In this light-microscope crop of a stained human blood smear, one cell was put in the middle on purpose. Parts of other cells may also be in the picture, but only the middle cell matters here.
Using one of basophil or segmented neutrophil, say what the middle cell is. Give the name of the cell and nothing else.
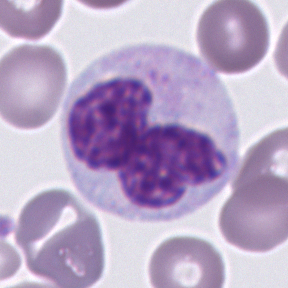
segmented neutrophil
